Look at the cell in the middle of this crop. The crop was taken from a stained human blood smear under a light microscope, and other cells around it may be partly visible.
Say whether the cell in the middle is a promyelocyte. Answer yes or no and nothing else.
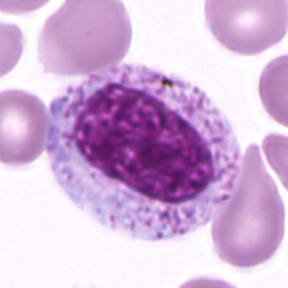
no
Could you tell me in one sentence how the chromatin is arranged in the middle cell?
Its chromatin is clumped in a coarse pattern.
